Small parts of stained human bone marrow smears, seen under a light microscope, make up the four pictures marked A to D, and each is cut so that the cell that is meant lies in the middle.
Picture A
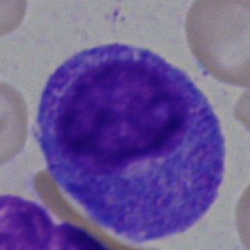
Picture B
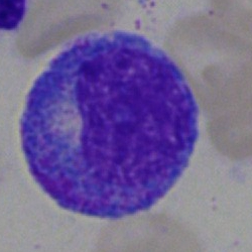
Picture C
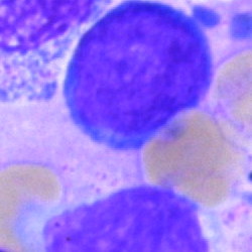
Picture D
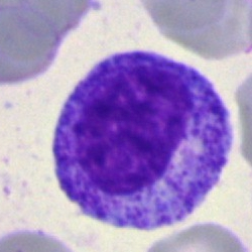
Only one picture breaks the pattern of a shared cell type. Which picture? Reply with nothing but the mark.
C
